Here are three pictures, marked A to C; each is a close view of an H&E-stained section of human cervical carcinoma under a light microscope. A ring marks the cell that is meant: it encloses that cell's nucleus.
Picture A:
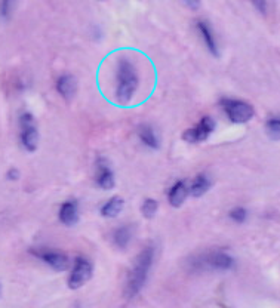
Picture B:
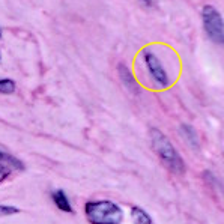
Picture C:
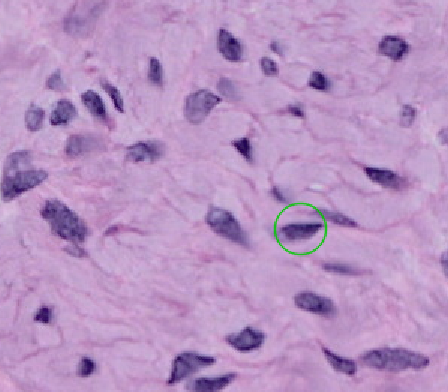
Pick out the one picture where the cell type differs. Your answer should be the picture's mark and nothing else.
B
